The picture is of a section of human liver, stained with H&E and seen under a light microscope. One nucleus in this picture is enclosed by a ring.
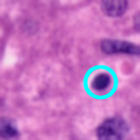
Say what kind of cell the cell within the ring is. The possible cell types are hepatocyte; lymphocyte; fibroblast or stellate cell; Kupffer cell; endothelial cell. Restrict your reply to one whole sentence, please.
Right, so the cell within the ring is a lymphocyte, to answer that.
